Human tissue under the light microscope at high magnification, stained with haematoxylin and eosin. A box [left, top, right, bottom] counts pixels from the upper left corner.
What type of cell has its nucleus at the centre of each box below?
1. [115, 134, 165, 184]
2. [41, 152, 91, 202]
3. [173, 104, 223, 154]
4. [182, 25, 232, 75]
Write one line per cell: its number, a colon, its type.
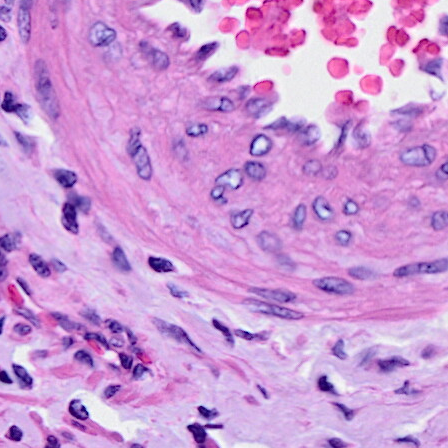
1: smooth muscle cell
2: lymphocyte
3: smooth muscle cell
4: endothelial cell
